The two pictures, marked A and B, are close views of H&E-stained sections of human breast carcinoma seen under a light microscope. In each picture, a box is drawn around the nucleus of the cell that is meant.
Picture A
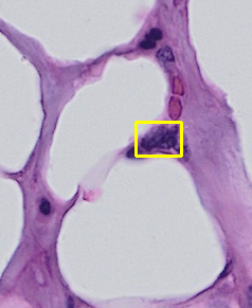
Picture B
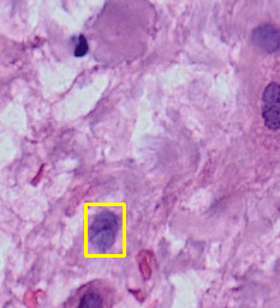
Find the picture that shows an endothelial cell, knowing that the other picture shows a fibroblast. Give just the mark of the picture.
A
